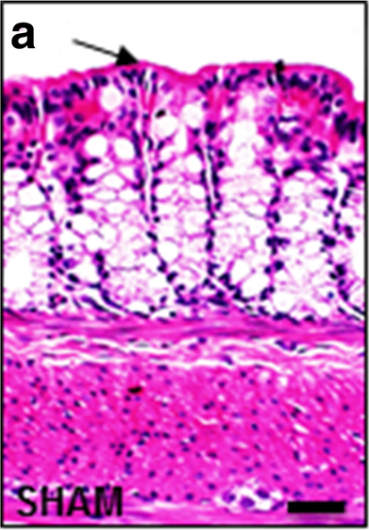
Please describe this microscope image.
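This cross section of colon wall shows a mucosa of straight, evenly spaced crypts, each lined by columnar epithelium packed with pale, rounded goblet cells. A continuous, pink surface epithelium covers the tops of the crypts without breaks. Dark purple nuclei line the crypt walls, with a thin lamina propria between neighbouring crypts. Below the crypts lies a thin pink band and a looser pale layer, and beneath these a thick, dense pink muscle layer with scattered elongated nuclei. The layers are stacked in a regular, orderly arrangement.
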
